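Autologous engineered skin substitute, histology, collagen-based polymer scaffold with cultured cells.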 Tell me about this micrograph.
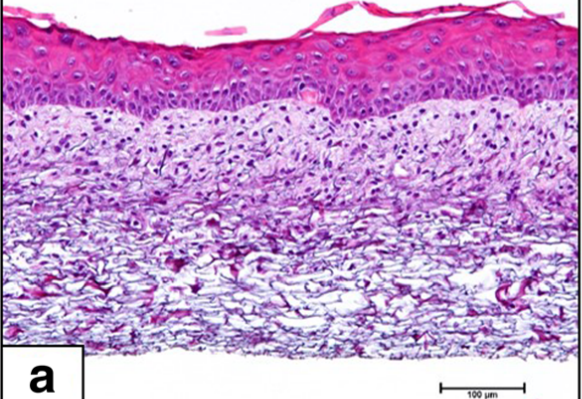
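The keratinocytes form a stratified epithelium several cells thick, staining pink, with rounded purple nuclei in the lower layers and flatter cells toward the surface. A thin, flaky pink layer at the top has partly lifted away from the surface. Beneath the epithelium lies a pale, loose zone with many scattered purple nuclei of the fibroblasts.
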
